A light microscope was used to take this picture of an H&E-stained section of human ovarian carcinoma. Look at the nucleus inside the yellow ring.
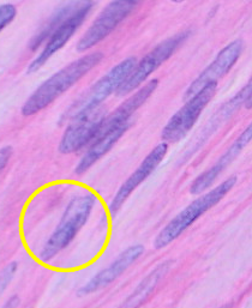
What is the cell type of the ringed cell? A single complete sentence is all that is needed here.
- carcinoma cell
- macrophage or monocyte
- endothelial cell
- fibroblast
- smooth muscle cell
At the level of cell identity, the ringed cell is a smooth muscle cell.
